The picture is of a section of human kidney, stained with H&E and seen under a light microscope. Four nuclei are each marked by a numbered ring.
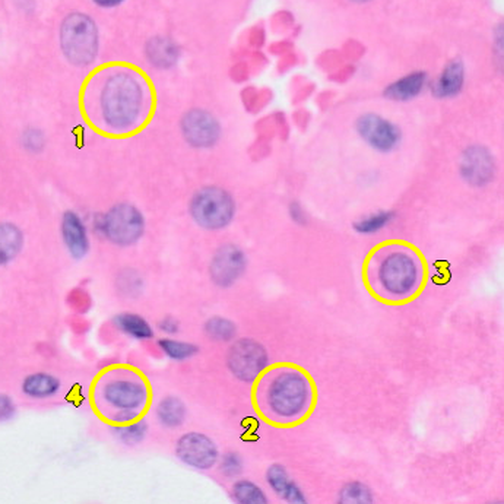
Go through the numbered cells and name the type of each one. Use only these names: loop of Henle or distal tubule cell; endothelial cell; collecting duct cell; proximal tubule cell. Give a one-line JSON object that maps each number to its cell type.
{"1": "proximal tubule cell", "2": "proximal tubule cell", "3": "proximal tubule cell", "4": "collecting duct cell"}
